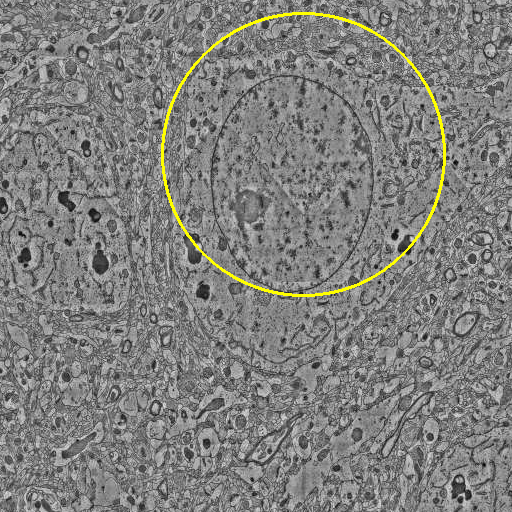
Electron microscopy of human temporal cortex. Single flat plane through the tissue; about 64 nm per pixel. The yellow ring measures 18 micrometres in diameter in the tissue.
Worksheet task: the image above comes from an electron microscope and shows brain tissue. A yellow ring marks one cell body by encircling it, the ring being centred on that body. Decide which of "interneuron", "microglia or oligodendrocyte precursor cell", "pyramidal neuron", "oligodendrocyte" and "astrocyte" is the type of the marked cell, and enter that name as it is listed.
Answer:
pyramidal neuron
